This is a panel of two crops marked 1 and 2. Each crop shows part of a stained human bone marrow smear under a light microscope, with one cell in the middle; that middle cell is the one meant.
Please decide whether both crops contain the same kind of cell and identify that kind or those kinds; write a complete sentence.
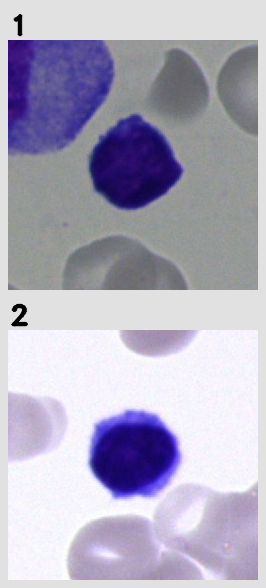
Yes, in short, both crops show lymphocytes.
